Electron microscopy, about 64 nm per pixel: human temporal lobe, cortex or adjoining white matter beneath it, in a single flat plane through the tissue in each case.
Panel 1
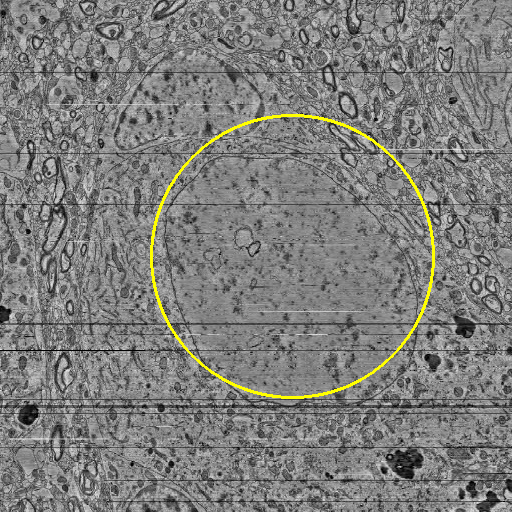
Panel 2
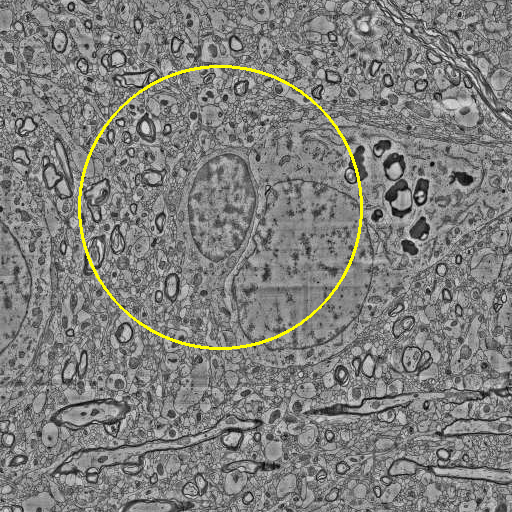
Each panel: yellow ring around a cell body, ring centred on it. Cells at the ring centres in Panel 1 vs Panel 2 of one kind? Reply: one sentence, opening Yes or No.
No, Panel 1 and Panel 2 have cells of two kinds at the ring centres.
